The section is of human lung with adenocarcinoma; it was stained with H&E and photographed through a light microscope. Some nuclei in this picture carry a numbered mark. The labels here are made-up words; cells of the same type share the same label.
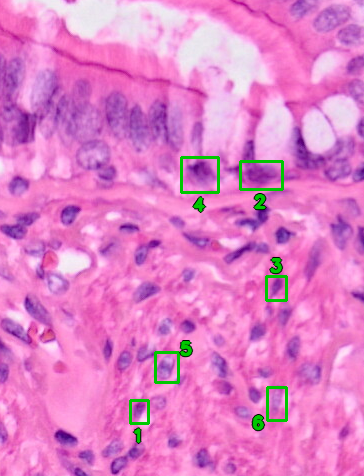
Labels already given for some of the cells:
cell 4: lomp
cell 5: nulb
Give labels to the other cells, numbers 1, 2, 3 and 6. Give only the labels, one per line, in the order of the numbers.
nulb
lomp
nulb
nulb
